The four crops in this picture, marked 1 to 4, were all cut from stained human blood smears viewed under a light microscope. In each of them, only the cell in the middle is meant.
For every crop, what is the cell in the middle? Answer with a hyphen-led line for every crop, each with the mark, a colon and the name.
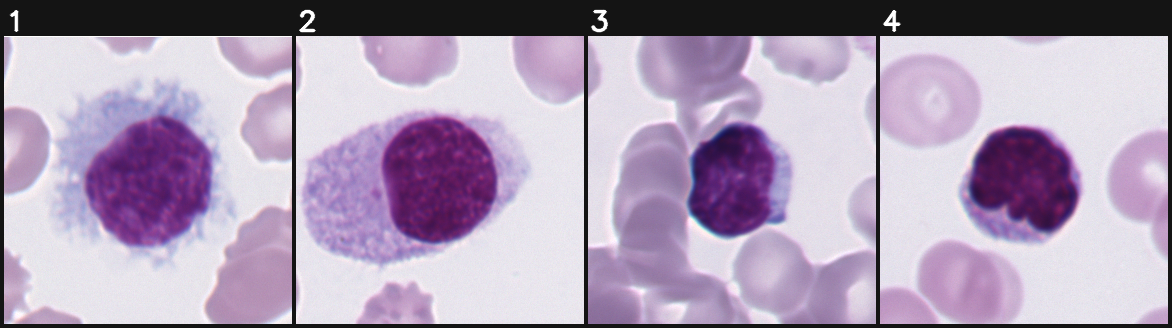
- 1: hairy cell
- 2: hairy cell
- 3: typical lymphocyte
- 4: typical lymphocyte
